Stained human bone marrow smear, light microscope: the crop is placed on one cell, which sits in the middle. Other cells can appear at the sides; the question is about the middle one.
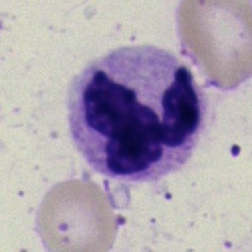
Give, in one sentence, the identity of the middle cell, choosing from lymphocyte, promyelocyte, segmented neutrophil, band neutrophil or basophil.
The central cell, amid any neighbouring cells, is a segmented neutrophil.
